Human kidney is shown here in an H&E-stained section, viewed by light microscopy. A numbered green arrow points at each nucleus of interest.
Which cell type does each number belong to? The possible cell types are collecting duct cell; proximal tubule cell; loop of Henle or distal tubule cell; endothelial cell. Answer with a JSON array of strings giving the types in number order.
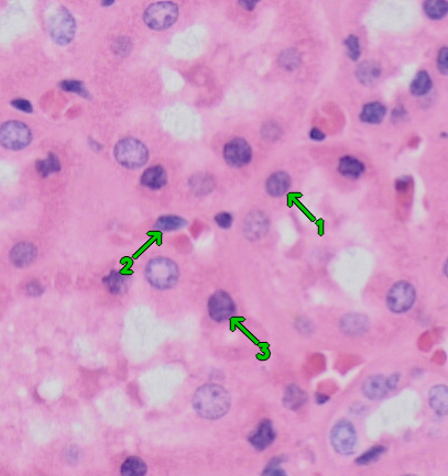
["proximal tubule cell", "endothelial cell", "proximal tubule cell"]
